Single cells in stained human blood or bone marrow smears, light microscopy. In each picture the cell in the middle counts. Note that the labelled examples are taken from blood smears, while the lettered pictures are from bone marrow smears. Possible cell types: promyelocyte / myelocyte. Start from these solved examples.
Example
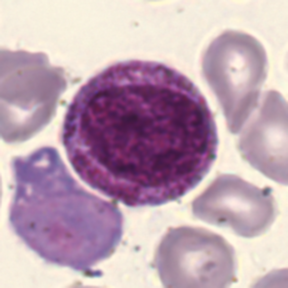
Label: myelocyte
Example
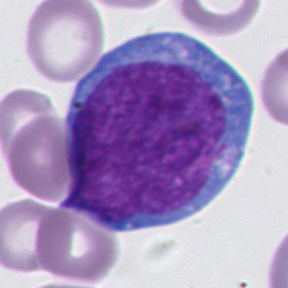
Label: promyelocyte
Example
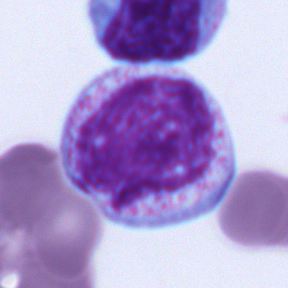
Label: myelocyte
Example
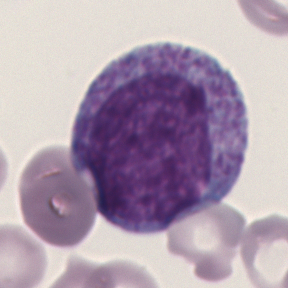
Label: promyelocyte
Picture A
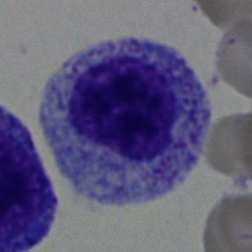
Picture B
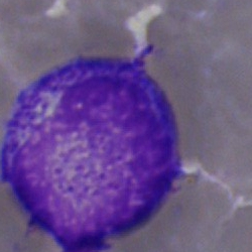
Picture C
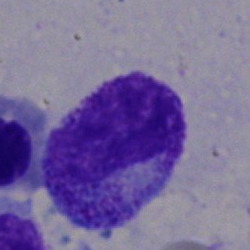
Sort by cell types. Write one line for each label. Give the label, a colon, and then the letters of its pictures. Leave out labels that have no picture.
promyelocyte: B
myelocyte: A, C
